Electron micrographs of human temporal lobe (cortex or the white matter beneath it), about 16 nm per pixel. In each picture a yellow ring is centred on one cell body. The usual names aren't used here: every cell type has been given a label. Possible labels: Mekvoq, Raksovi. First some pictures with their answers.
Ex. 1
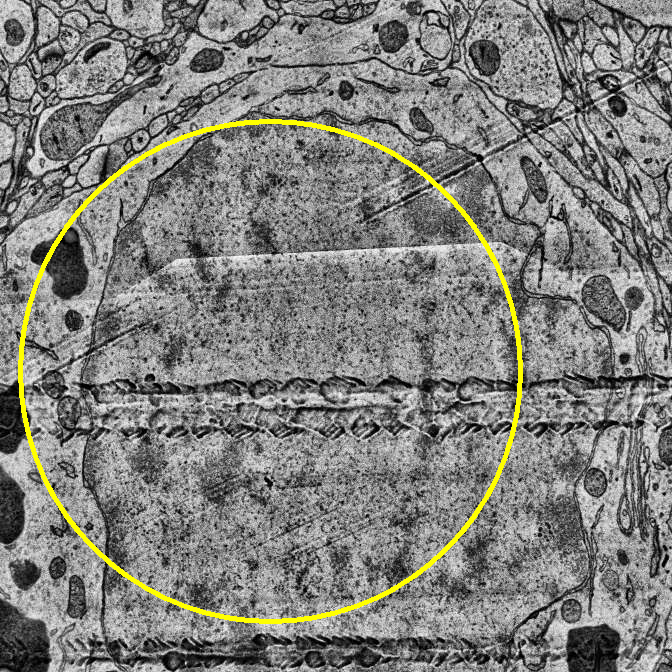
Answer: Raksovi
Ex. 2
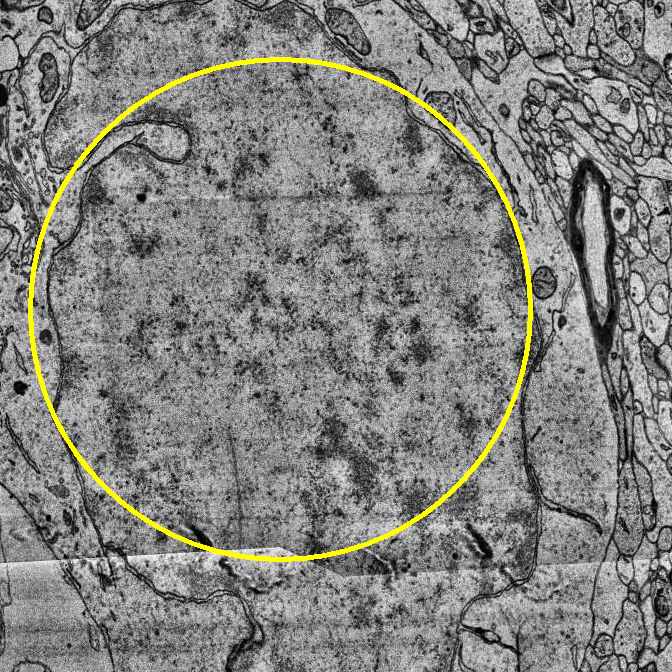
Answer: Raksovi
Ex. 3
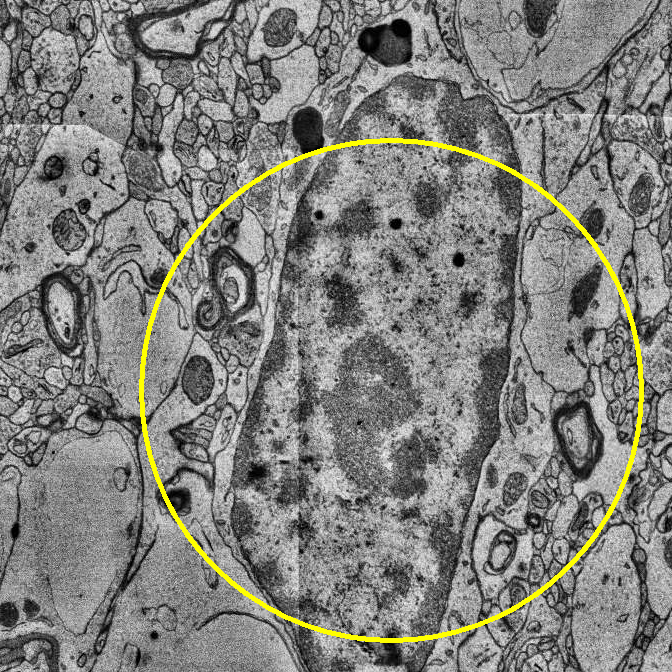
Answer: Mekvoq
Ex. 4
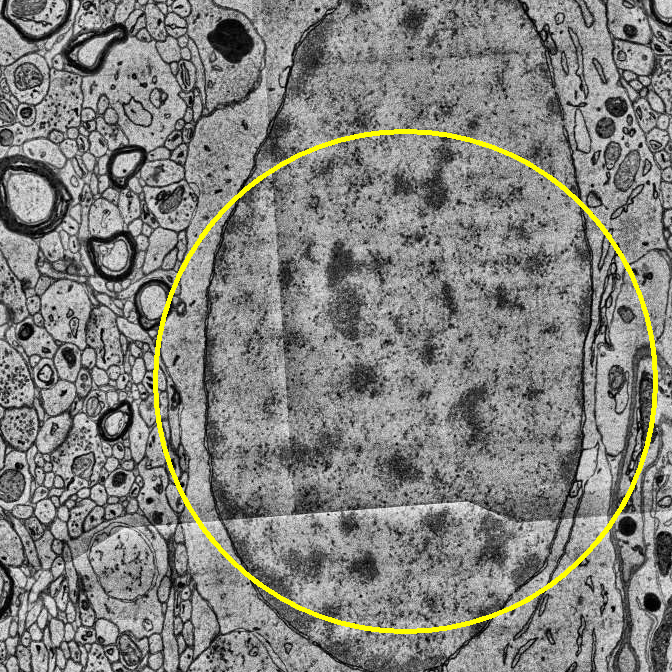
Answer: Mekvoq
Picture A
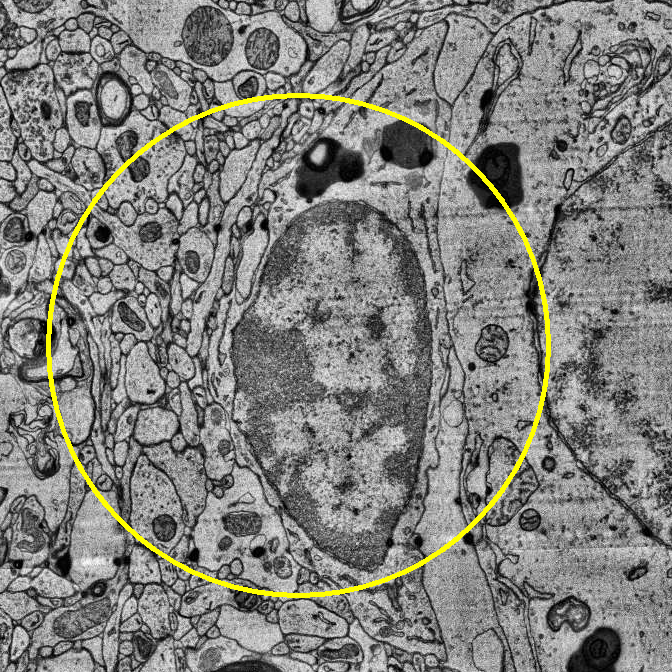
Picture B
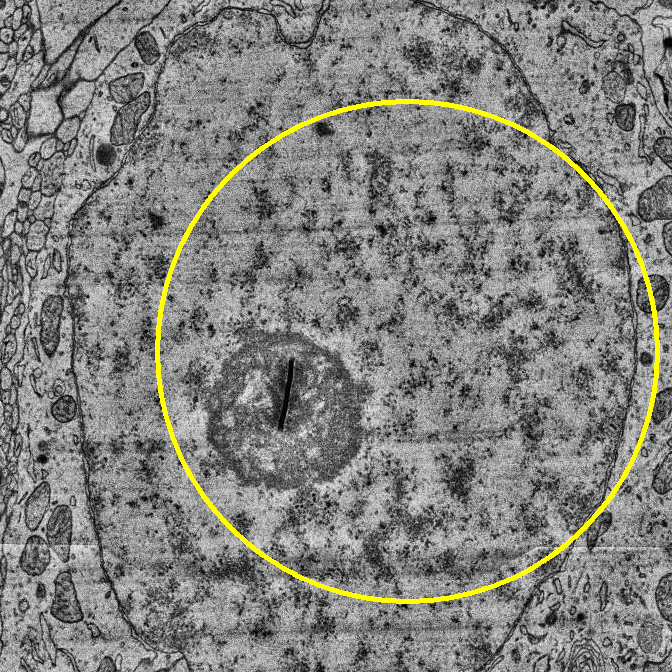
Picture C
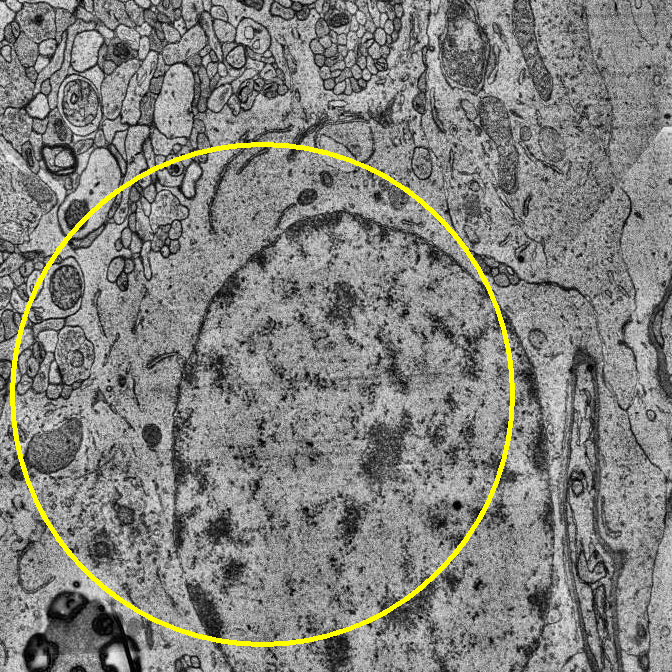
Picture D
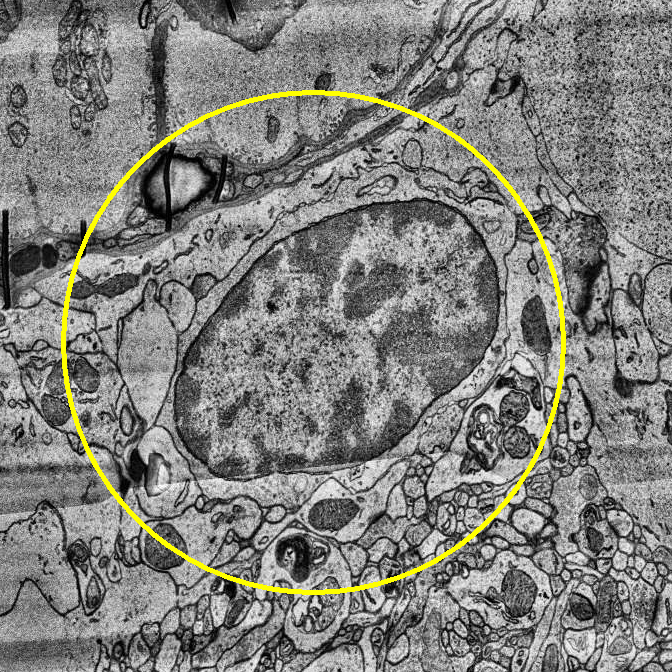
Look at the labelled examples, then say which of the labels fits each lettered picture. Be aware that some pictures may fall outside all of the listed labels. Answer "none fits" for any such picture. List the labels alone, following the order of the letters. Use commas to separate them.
Mekvoq, Raksovi, none fits, Mekvoq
